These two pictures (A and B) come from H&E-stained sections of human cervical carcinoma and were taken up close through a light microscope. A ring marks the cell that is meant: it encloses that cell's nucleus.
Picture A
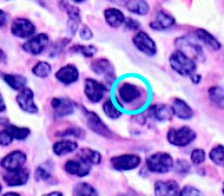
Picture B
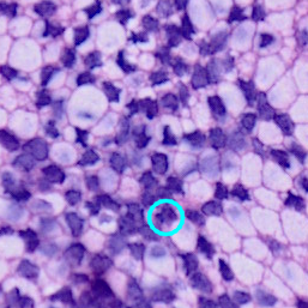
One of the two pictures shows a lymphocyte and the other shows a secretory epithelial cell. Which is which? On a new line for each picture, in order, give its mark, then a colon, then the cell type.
A: lymphocyte
B: secretory epithelial cell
